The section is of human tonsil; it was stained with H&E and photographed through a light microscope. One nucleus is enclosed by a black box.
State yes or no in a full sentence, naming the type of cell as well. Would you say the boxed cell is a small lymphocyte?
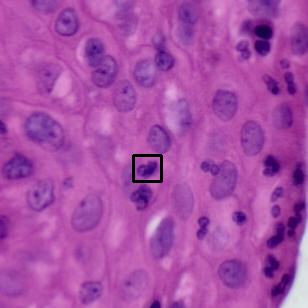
No, on this one the boxed cell is a squamous epithelial cell, not a small lymphocyte.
